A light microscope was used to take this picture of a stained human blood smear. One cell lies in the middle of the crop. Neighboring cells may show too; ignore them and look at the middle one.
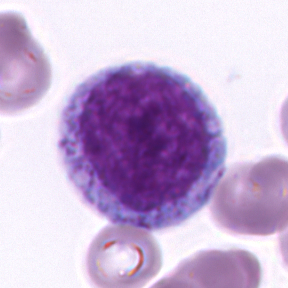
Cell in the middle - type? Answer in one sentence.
The single cell at the center of the crop is a myelocyte.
